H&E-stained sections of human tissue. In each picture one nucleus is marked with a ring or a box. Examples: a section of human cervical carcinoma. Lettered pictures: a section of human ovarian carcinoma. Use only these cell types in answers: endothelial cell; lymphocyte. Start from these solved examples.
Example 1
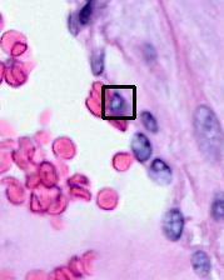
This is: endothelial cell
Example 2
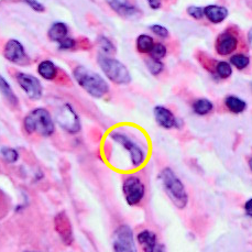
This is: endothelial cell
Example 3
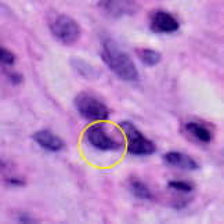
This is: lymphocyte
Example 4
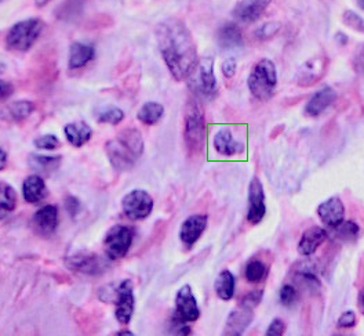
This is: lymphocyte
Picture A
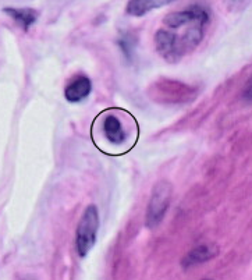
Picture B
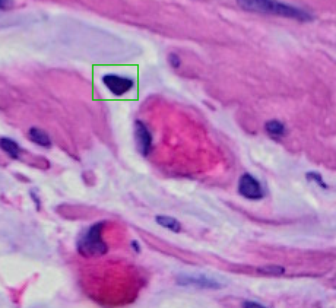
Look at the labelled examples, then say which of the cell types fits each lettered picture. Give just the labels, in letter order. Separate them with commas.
lymphocyte, lymphocyte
